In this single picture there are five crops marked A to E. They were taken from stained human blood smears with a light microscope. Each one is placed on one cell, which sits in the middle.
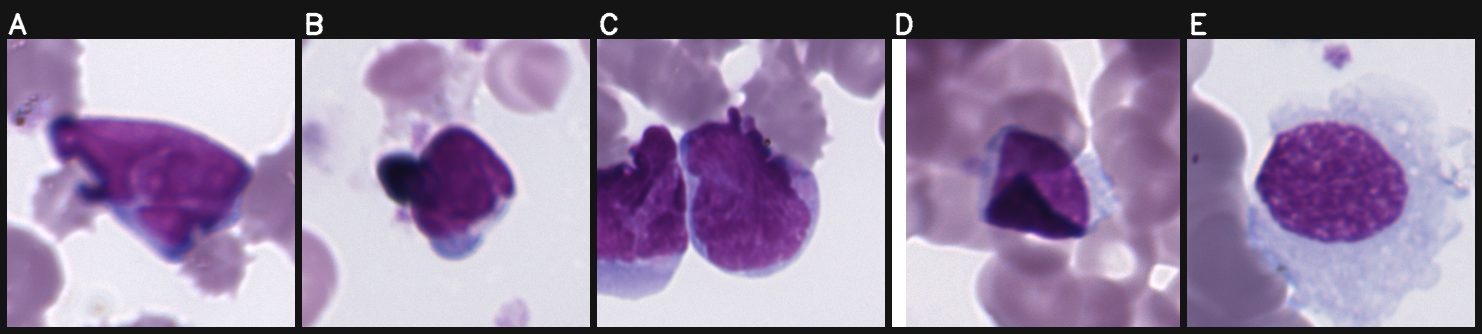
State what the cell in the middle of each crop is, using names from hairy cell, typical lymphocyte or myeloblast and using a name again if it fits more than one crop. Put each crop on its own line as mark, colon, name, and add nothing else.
A: myeloblast
B: typical lymphocyte
C: myeloblast
D: typical lymphocyte
E: hairy cell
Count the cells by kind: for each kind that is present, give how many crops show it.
myeloblast: 2
typical lymphocyte: 2
hairy cell: 1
